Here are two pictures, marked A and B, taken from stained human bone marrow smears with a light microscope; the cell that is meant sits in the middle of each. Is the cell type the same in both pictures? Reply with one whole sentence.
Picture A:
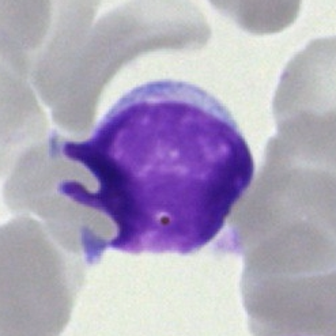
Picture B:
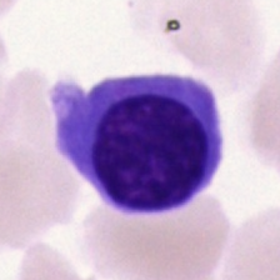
No, picture A shows a lymphocyte and picture B shows a plasma cell.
